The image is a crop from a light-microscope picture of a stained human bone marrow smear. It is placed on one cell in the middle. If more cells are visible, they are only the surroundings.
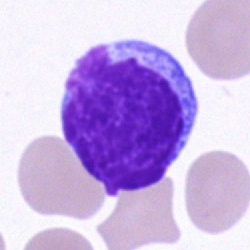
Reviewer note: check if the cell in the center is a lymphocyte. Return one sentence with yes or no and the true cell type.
Yes, in the centre of this field sits a lymphocyte.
